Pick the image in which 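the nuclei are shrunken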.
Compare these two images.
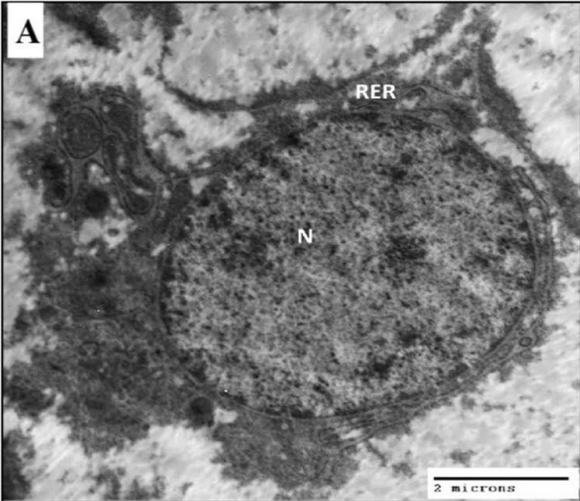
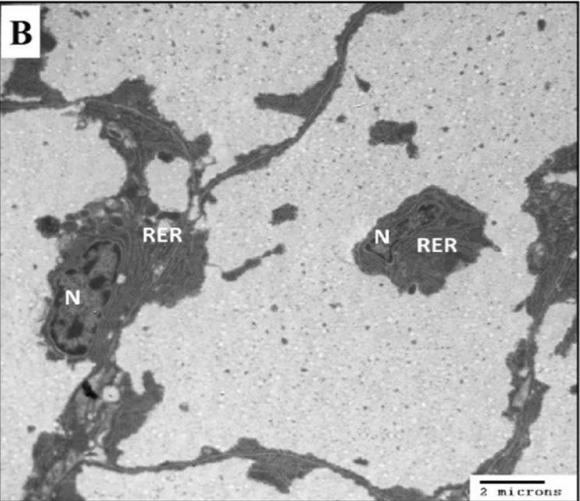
the second image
